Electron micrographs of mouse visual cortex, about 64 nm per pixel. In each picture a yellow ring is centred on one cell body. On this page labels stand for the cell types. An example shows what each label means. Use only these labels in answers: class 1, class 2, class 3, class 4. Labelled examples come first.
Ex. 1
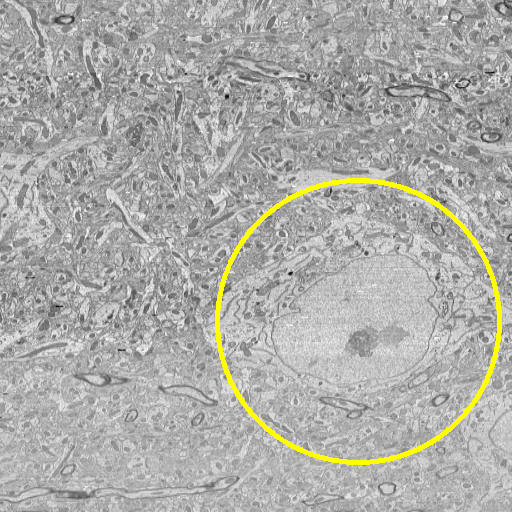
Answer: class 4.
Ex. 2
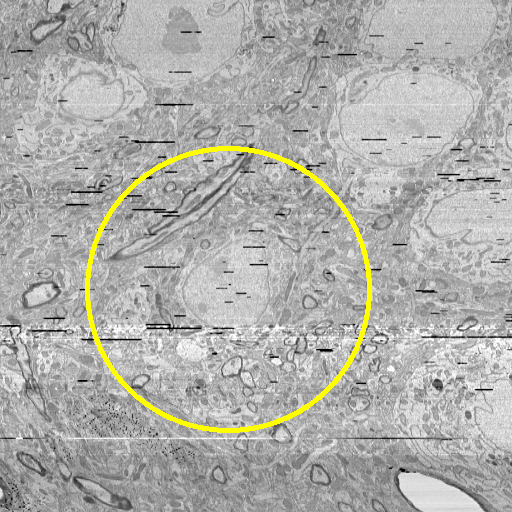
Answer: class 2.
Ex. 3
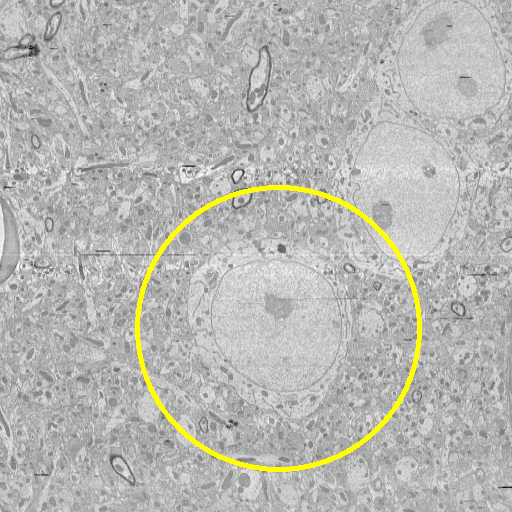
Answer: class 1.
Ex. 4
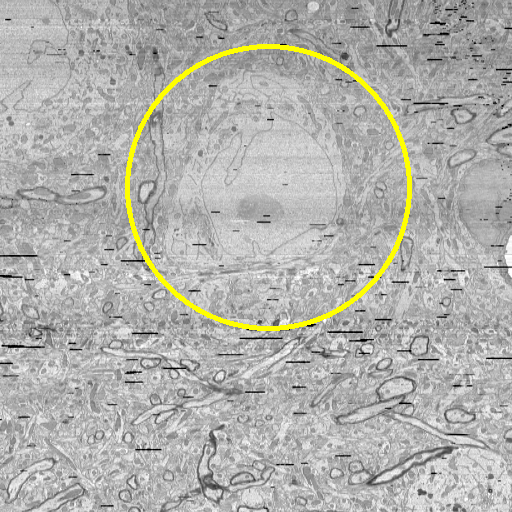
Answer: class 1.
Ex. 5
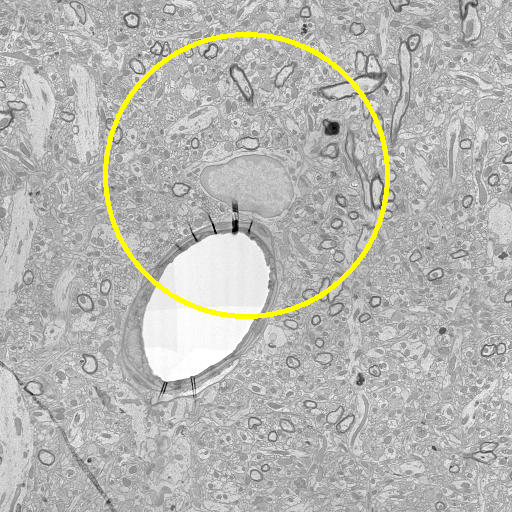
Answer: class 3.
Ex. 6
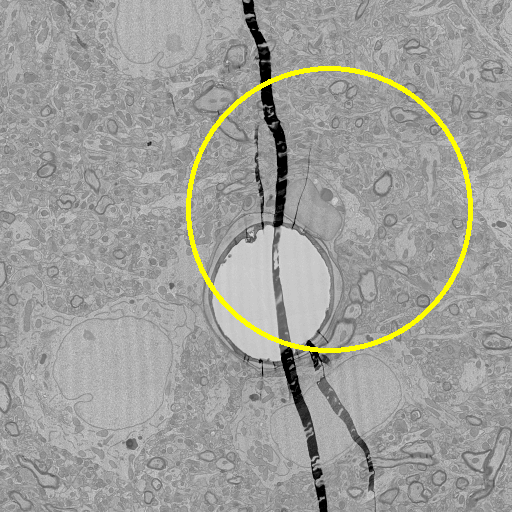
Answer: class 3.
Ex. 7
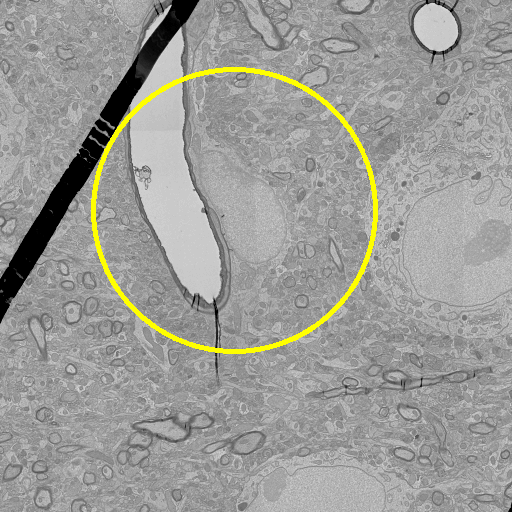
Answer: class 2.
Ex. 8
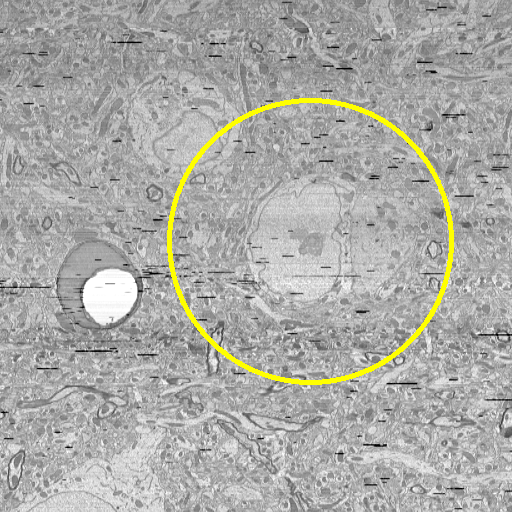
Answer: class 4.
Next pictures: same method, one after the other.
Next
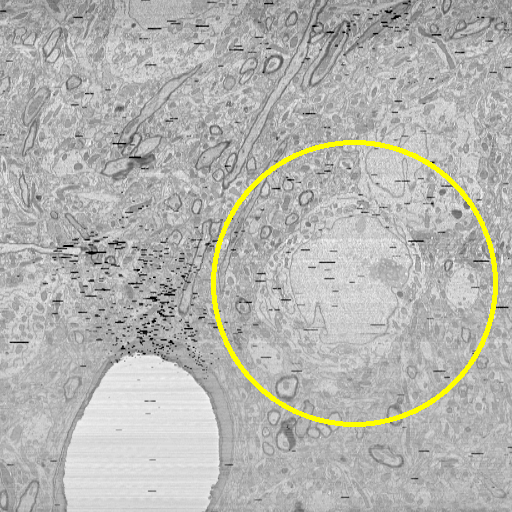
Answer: class 4.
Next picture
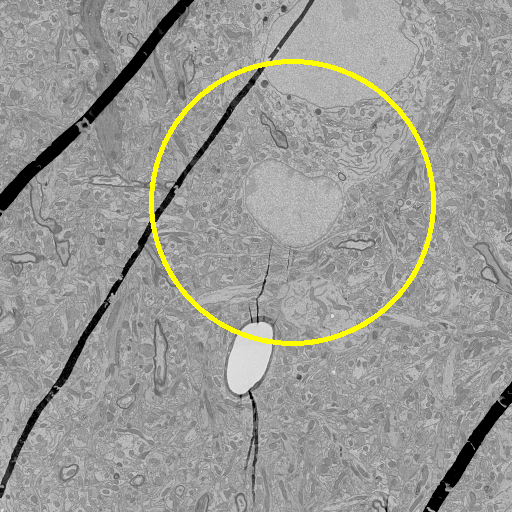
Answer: class 2.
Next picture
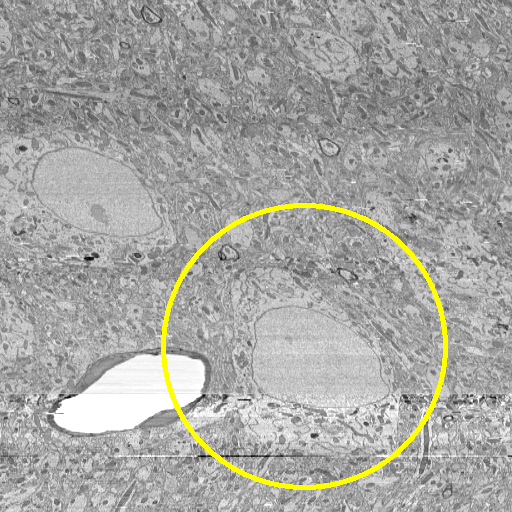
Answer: class 1.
